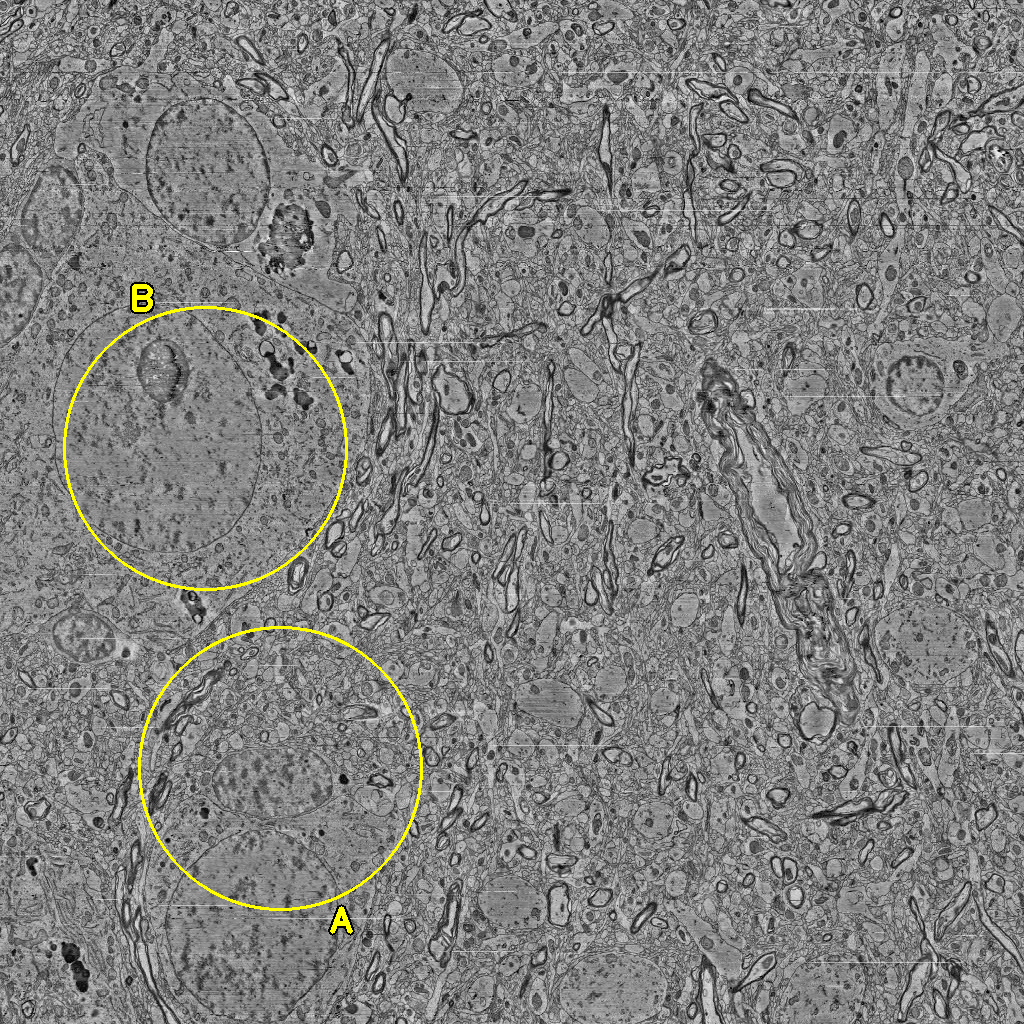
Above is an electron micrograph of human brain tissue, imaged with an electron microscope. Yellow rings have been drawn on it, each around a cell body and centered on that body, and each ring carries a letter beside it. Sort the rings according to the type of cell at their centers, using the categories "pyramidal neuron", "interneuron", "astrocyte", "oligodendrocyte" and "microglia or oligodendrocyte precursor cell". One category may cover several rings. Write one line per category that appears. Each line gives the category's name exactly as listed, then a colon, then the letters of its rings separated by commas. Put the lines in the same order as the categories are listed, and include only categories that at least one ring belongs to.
pyramidal neuron: B
oligodendrocyte: A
